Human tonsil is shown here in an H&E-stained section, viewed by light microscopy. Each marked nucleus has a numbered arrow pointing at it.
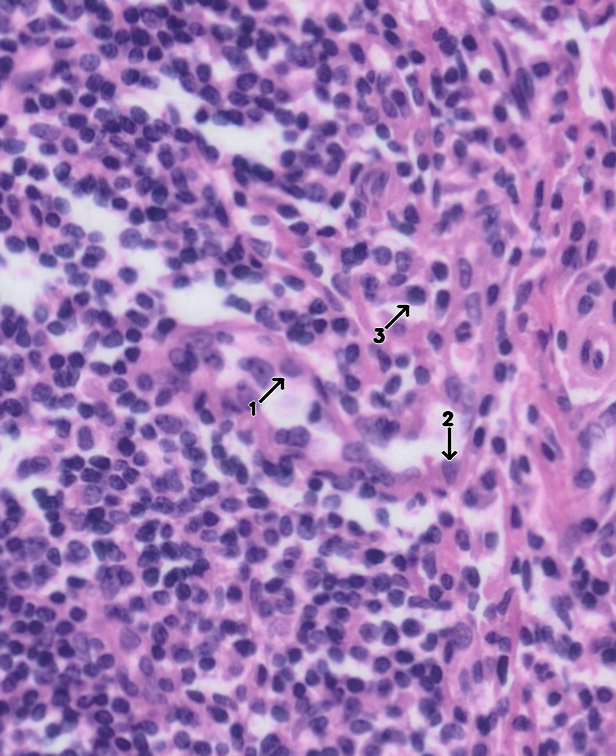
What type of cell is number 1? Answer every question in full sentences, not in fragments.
The one labeled 1 is an endothelial cell, to put it simply.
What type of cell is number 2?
Among the marked cells, number 2 is an endothelial cell.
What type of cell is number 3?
The marked nucleus 3 is that of a plasma cell.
